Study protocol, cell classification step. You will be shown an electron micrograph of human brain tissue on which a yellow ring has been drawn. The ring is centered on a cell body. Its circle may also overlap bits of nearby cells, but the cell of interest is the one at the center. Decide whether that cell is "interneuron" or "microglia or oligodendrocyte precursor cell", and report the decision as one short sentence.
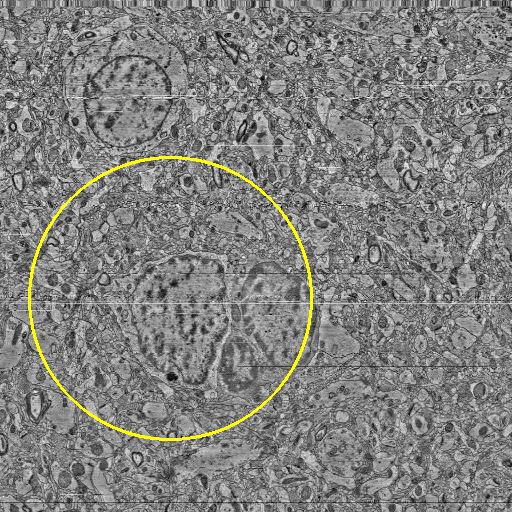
The marked cell is an interneuron.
